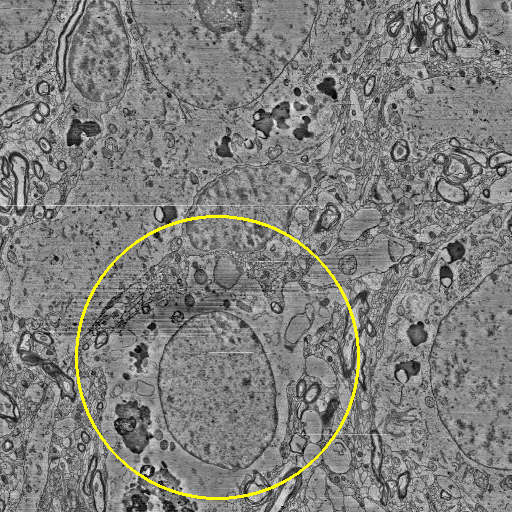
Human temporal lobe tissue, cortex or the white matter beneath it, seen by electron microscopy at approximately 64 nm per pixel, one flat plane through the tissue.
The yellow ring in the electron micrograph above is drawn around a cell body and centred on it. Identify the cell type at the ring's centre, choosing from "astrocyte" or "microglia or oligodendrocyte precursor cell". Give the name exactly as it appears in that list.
astrocyte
